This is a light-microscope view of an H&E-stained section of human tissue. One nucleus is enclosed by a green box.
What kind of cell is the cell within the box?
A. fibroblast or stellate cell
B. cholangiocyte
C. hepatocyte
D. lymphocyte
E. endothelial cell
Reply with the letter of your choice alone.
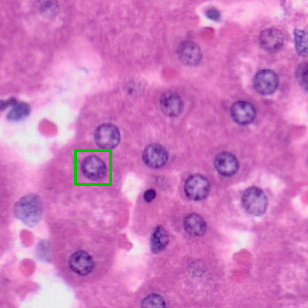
C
